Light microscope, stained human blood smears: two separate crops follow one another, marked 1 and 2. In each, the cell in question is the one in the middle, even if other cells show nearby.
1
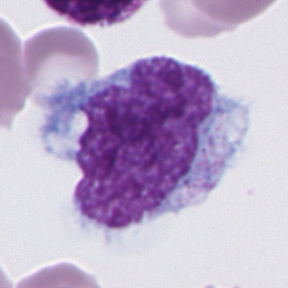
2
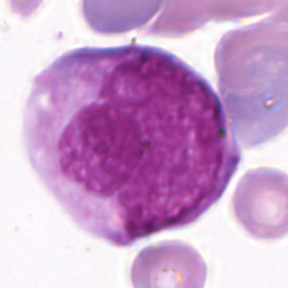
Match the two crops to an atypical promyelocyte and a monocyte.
1: monocyte
2: atypical promyelocyte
